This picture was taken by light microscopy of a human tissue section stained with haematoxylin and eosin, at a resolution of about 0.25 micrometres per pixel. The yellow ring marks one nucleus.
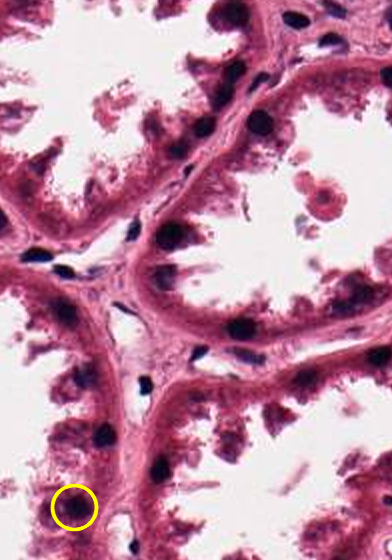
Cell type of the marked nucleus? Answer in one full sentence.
The marked nucleus is one that belongs to a proximal tubule cell.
